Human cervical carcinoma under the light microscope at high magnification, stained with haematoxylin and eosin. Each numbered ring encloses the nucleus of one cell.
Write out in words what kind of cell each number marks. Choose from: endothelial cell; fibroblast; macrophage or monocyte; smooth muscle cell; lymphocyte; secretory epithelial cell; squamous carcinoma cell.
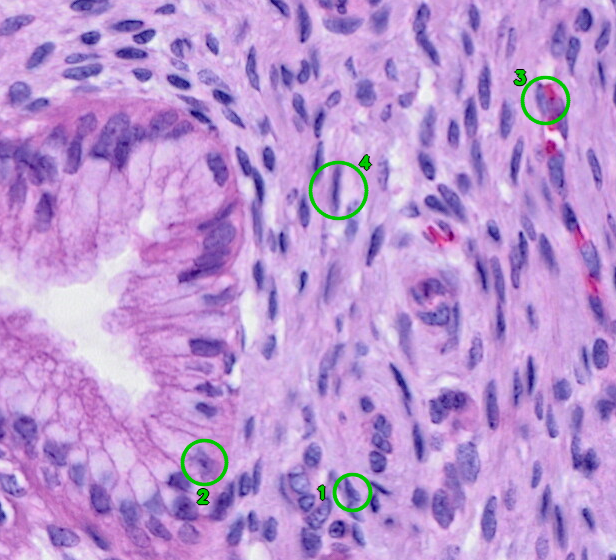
Cell 1 is a fibroblast, cell 2 is a secretory epithelial cell, cell 3 is an endothelial cell and cell 4 is a fibroblast.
